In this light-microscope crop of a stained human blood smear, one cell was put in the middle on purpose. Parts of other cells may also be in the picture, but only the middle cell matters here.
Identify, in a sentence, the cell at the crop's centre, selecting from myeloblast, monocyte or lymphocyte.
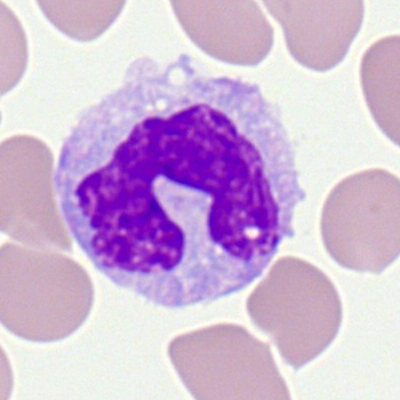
Whatever else lies nearby, the middle cell is a monocyte.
